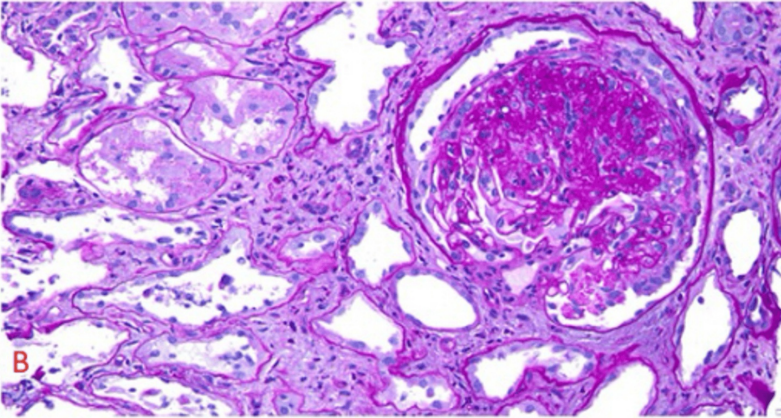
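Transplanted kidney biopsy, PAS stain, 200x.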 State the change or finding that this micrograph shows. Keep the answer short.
Focal and segmental glomerulosclerosis with collapsing features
